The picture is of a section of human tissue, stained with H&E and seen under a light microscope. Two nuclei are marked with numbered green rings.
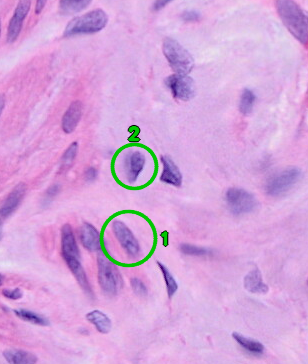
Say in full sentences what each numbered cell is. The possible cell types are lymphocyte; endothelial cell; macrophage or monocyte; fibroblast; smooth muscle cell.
Cell 1 is a smooth muscle cell and cell 2 is a fibroblast.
